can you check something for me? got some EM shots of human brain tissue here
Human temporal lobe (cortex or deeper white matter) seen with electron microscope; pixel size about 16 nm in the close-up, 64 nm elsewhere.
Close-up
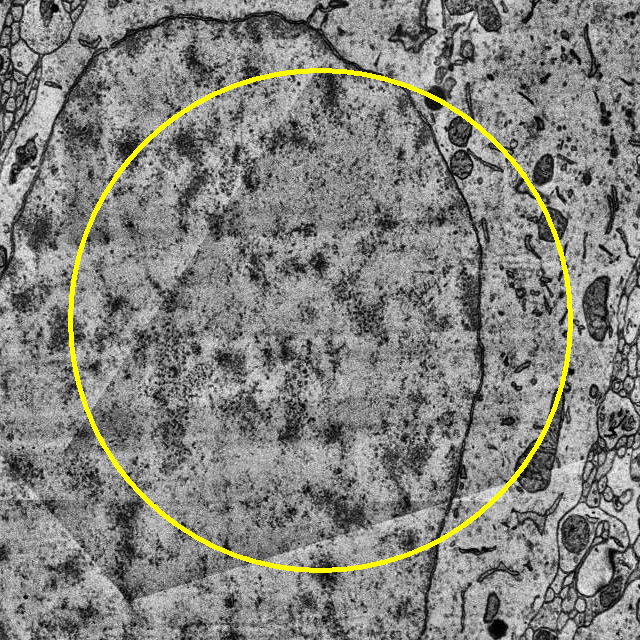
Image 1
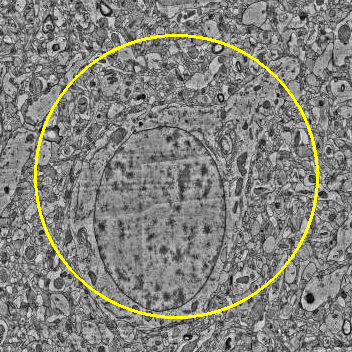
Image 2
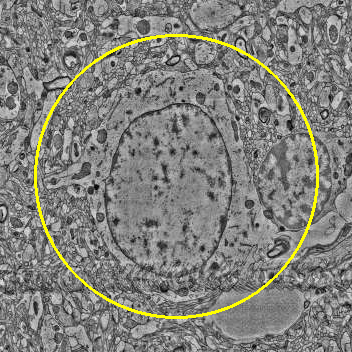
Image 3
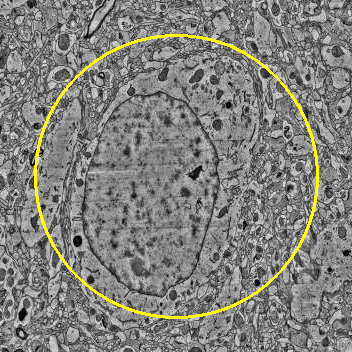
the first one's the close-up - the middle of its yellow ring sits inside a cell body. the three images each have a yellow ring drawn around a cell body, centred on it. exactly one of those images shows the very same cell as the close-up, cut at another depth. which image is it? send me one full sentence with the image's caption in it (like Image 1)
The same cell appears ringed in Image 3 and enlarged in the close-up.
